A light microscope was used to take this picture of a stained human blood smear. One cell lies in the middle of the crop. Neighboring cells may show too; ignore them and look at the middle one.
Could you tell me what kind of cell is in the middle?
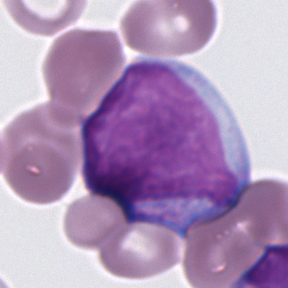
atypical promyelocyte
